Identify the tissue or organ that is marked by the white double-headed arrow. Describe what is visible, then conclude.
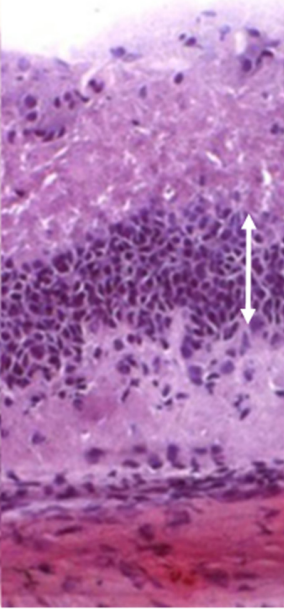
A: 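The arrow spans a band of densely packed purple nuclei. A pale, loosely textured band with scattered nuclei lies above it.
Hence: inner nuclear layer.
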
